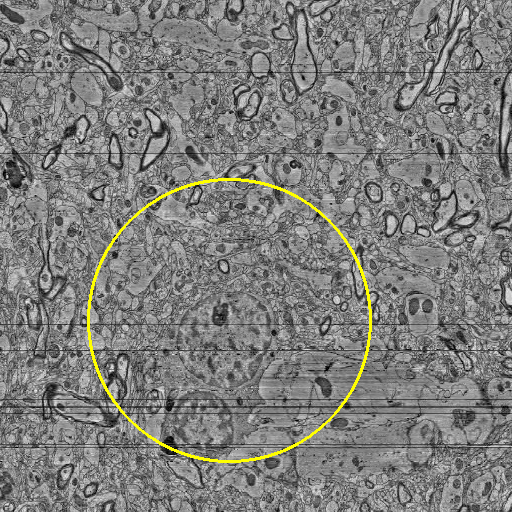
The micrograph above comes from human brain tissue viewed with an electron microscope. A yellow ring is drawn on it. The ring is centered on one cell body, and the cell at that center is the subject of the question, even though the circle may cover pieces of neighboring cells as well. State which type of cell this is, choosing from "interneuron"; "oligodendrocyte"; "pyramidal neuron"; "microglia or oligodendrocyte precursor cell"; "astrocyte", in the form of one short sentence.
The cell the ring is centered on is an oligodendrocyte.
